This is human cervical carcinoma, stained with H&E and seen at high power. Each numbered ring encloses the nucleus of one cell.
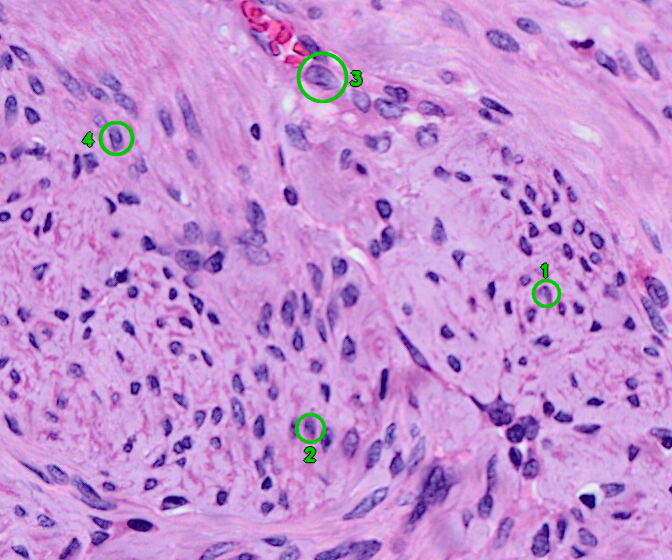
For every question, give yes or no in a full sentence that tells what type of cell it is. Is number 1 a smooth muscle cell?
Yes, the cell carrying number 1 is a smooth muscle cell.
